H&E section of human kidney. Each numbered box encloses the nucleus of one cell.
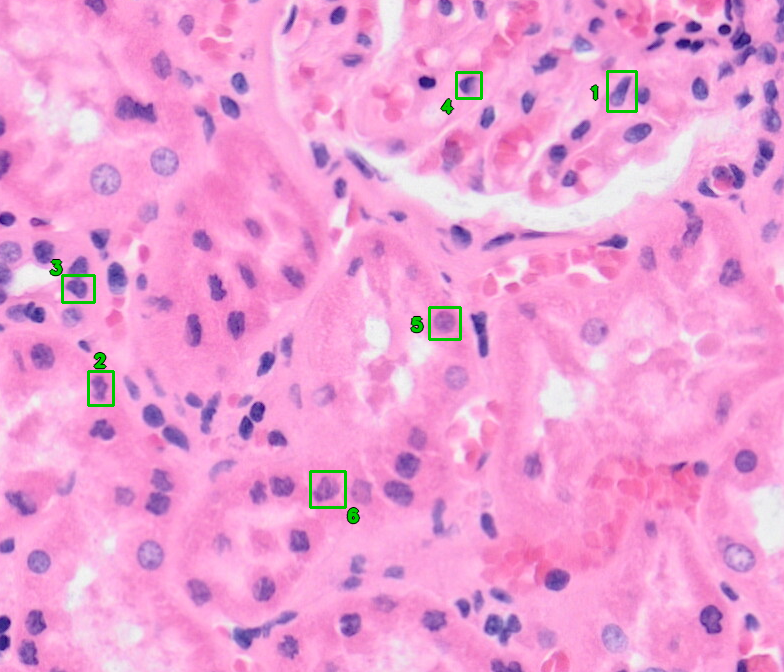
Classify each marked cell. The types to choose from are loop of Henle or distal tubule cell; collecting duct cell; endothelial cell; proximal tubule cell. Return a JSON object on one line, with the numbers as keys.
{"1": "endothelial cell", "2": "proximal tubule cell", "3": "collecting duct cell", "4": "endothelial cell", "5": "proximal tubule cell", "6": "proximal tubule cell"}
